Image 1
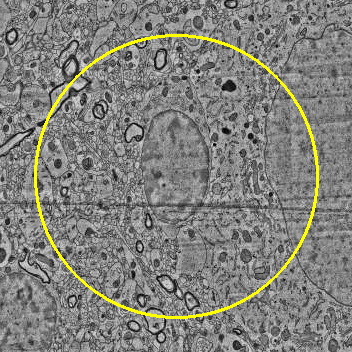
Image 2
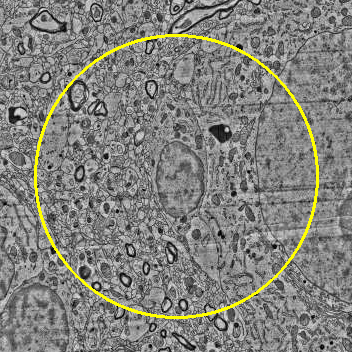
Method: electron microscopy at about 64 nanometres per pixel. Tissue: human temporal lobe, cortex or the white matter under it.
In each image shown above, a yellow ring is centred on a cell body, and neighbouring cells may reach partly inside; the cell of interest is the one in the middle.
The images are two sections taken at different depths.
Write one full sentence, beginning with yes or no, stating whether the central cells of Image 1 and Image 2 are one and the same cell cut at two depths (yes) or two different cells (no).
Yes, the rings do not mark different cells but one cell.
